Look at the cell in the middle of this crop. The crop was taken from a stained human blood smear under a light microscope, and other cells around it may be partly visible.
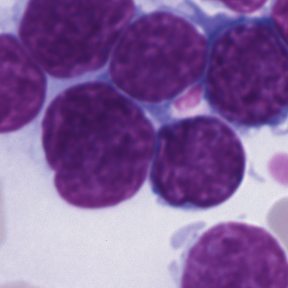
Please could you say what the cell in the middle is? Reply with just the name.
myeloblast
